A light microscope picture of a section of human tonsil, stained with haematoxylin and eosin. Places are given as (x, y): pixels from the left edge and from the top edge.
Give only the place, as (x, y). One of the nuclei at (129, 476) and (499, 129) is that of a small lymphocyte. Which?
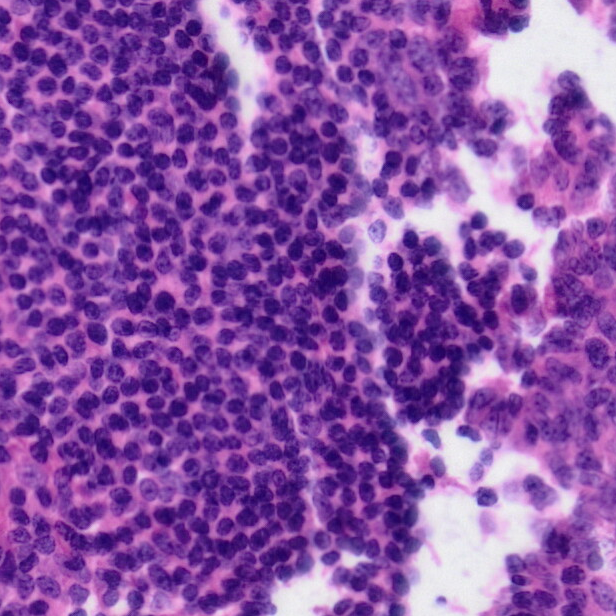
(129, 476)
